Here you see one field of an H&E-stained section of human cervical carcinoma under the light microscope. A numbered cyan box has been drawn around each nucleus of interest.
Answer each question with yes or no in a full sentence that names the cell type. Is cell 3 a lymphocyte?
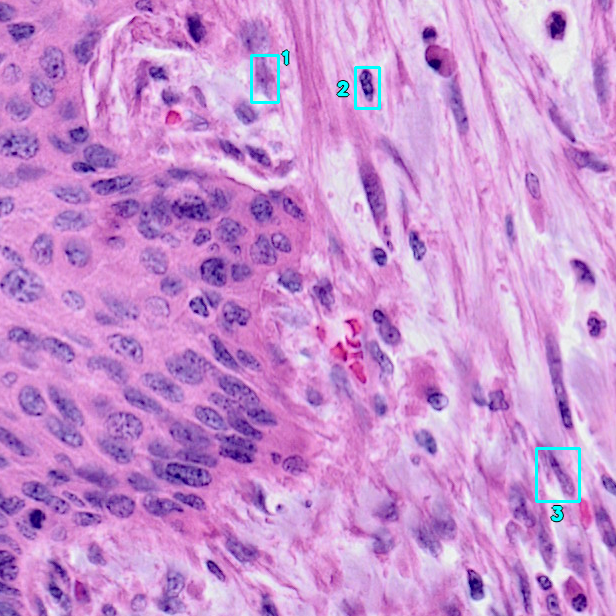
No; cell 3 is a fibroblast, not a lymphocyte.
